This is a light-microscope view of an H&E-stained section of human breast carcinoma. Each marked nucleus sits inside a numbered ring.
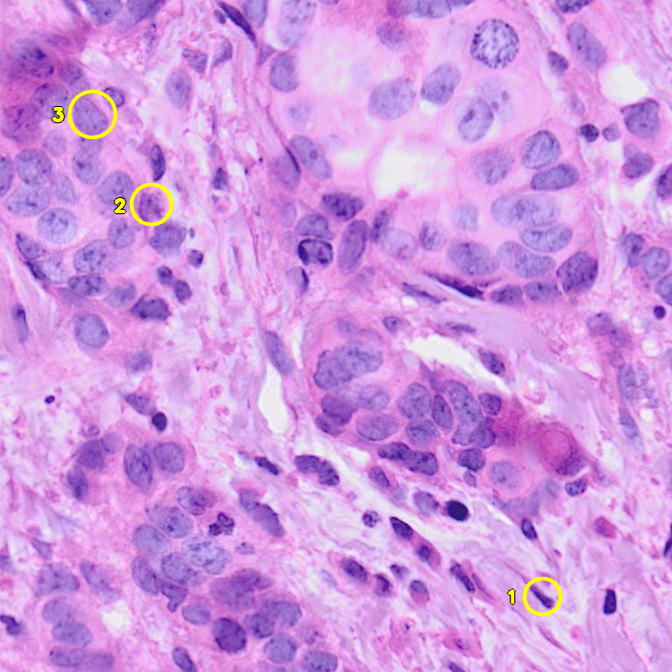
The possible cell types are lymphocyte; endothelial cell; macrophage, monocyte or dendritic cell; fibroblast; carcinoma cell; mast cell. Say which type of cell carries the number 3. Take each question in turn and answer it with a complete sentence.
The cell that is numbered 3 is a carcinoma cell.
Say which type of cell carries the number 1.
Of the numbered cells, the one labelled 1 is a fibroblast.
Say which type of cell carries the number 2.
The cell indicated with the number 2 is classed as a carcinoma cell.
